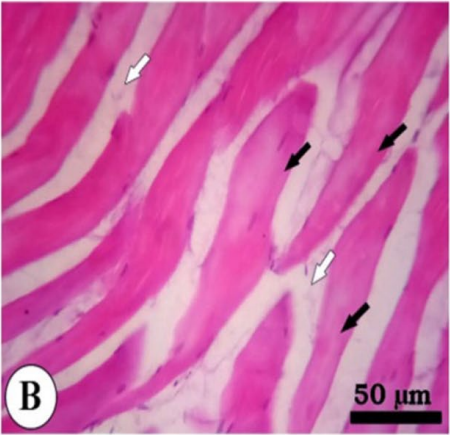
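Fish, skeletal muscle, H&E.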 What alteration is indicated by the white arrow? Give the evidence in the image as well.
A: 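Interstitial edema. Wide pale spaces separate the pink muscle fibers. The spaces contain faint wispy material.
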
